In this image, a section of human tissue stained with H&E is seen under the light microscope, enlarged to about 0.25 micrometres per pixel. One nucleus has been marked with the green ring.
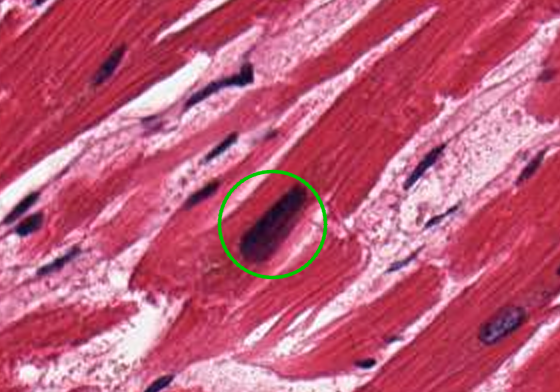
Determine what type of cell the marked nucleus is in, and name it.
cardiomyocyte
